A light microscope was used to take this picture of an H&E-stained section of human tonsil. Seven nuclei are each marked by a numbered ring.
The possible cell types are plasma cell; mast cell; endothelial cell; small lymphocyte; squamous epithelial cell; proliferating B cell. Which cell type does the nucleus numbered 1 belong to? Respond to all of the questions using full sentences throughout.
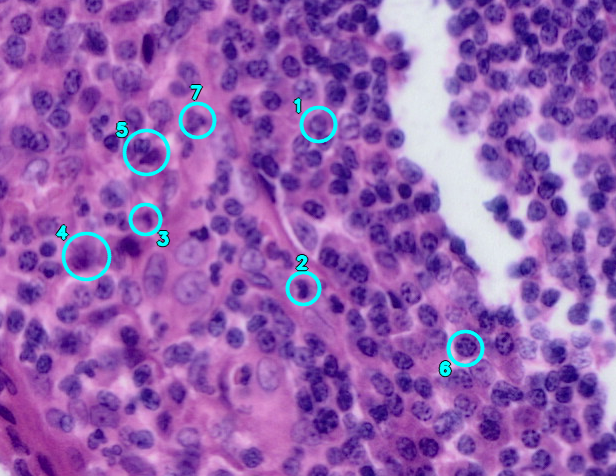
Identified as a plasma cell is the cell bearing the number 1.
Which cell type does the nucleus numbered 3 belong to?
The cell with the number 3 is a squamous epithelial cell.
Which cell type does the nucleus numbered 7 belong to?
Cell number 7 in this section is an endothelial cell.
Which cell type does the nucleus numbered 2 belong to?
In this section, the cell numbered 2 is an endothelial cell.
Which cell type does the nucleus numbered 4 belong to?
Cell number 4 in this section is a squamous epithelial cell.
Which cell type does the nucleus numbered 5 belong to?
The cell pointed out as number 5 is a squamous epithelial cell.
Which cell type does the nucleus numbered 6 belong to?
In the tissue shown, cell 6 is a plasma cell.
